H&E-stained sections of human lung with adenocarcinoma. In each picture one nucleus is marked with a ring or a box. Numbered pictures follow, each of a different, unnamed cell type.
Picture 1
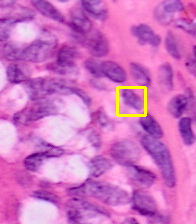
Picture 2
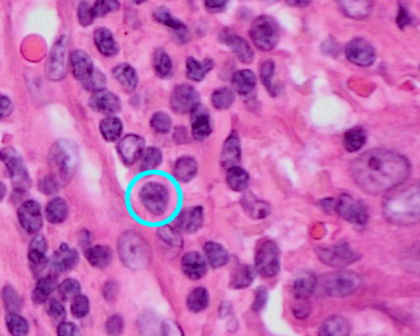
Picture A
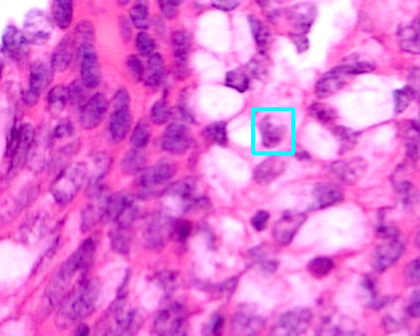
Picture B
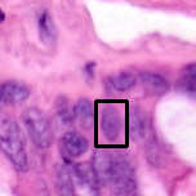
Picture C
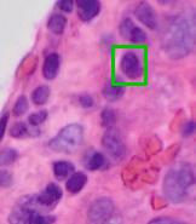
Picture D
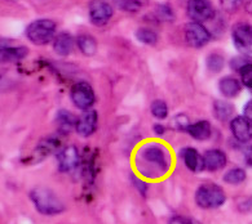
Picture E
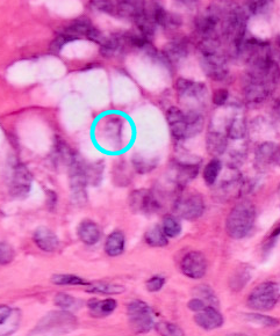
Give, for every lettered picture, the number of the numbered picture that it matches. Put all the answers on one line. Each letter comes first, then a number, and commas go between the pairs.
A 1, B 1, C 2, D 2, E 1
